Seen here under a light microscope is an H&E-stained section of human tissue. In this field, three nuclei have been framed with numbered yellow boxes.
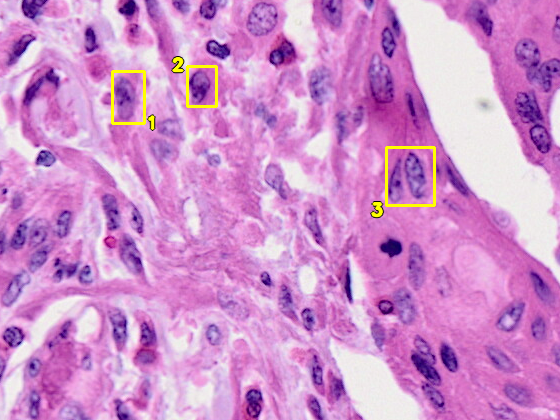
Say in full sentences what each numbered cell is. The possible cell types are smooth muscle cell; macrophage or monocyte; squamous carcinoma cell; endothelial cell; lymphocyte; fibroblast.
Cell 1 is a macrophage or monocyte, cell 2 is a macrophage or monocyte and cell 3 is a squamous carcinoma cell.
